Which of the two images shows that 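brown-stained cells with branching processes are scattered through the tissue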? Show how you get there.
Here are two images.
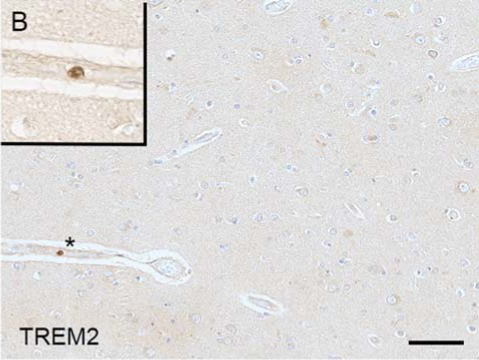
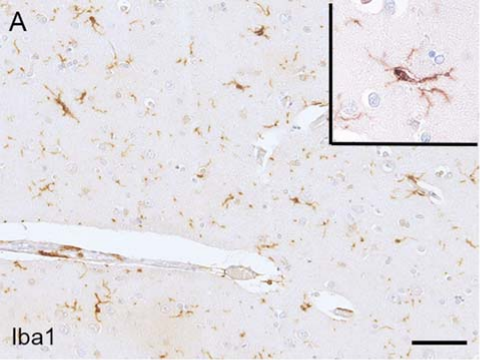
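First image: the parenchyma shows only pale background and blue nuclei, with brown staining confined to a cell in a vessel. Second image: many brown cells with thin branching processes are spread through the parenchyma. On this evidence: the second image.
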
